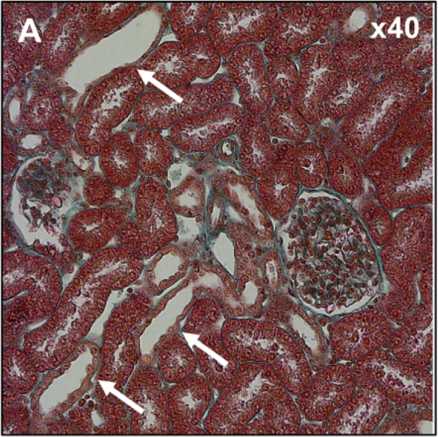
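This is a section of kidney cortex with many cross- and oblique-cut tubules whose epithelium stains deep red, thin blue-green connective tissue between them, and a rounded glomerulus at the right. Most tubules have tall red epithelial cells with small dark nuclei and narrow, slit-like lumens. Several tubules, however, stand out with wide, pale, empty lumens lined only by a thin rim of flattened epithelium. The picture is one of tubular injury, with dilated lumens and thinned epithelium among otherwise ordinary tubules.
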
